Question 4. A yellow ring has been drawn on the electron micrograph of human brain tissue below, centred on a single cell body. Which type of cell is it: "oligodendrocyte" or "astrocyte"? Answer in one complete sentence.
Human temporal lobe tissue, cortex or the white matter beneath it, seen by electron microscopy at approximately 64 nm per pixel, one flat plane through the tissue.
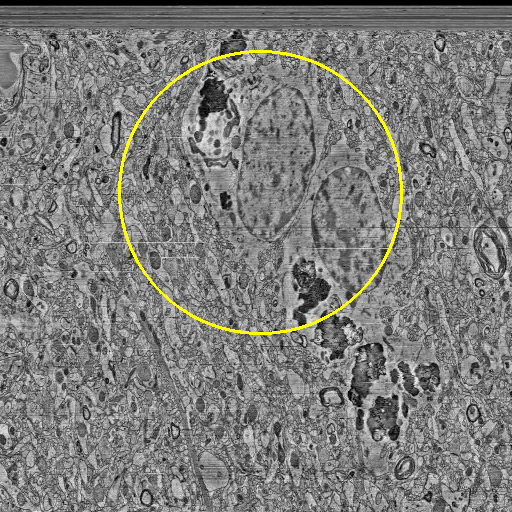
This cell body belongs to an astrocyte.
